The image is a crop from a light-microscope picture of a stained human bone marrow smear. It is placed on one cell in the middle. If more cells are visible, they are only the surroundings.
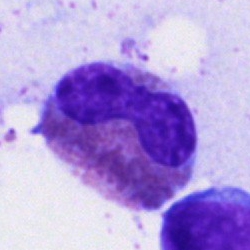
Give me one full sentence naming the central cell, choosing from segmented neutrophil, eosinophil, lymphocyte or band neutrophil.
At the center of the crop sits an eosinophil.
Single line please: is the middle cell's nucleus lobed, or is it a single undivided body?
Its nucleus is compact and single, with a round, oval or kidney-shaped form.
